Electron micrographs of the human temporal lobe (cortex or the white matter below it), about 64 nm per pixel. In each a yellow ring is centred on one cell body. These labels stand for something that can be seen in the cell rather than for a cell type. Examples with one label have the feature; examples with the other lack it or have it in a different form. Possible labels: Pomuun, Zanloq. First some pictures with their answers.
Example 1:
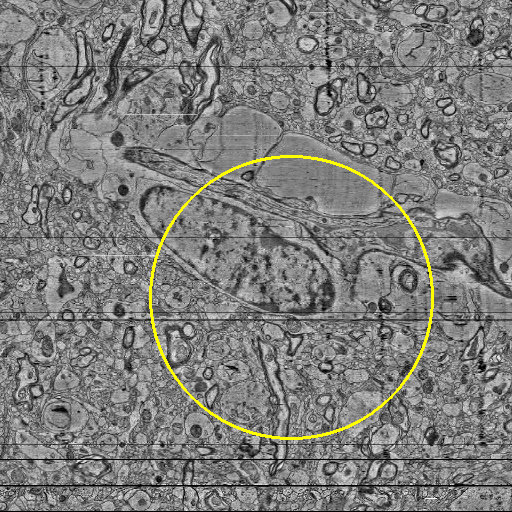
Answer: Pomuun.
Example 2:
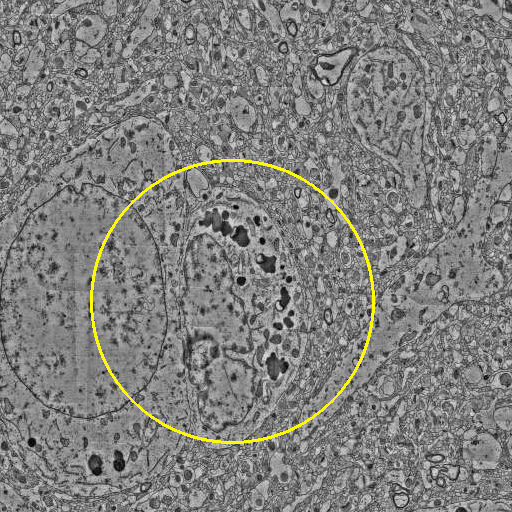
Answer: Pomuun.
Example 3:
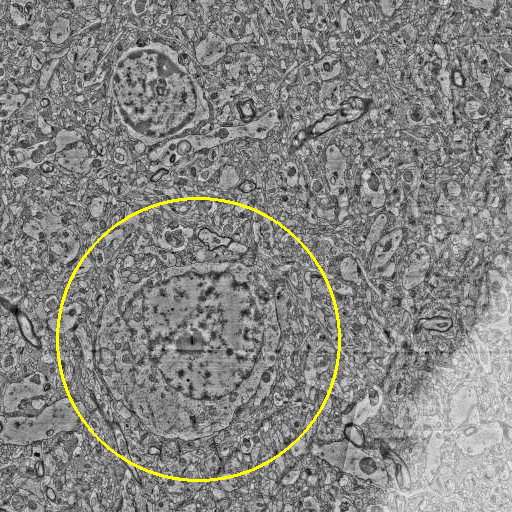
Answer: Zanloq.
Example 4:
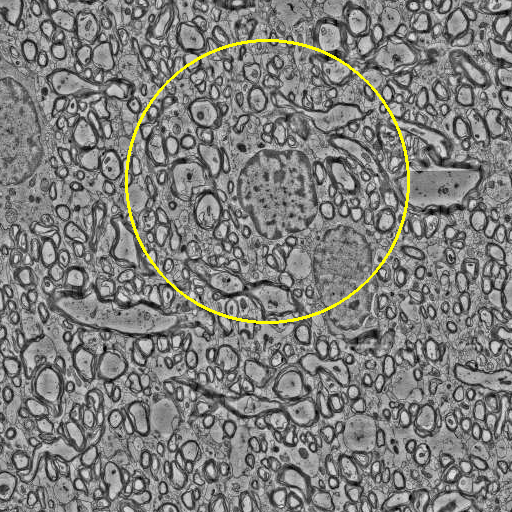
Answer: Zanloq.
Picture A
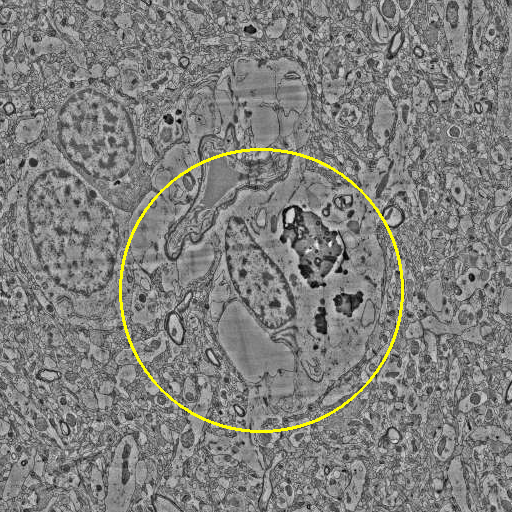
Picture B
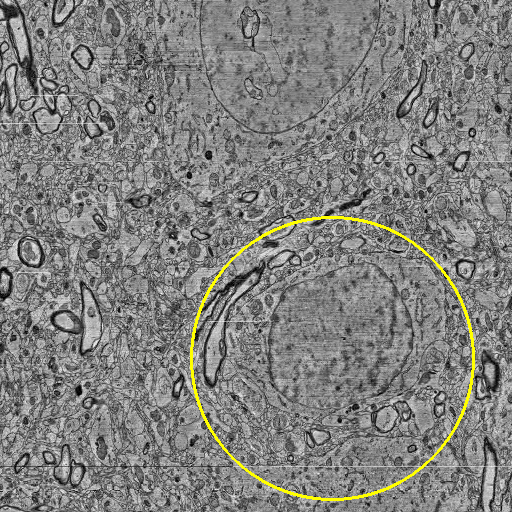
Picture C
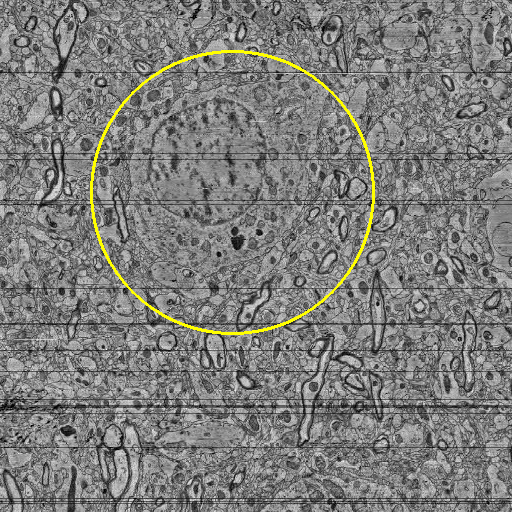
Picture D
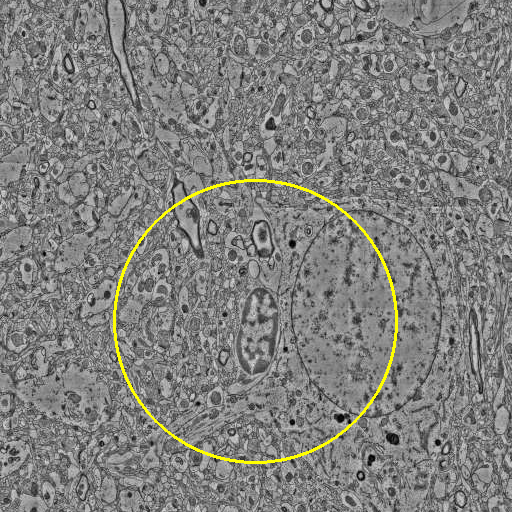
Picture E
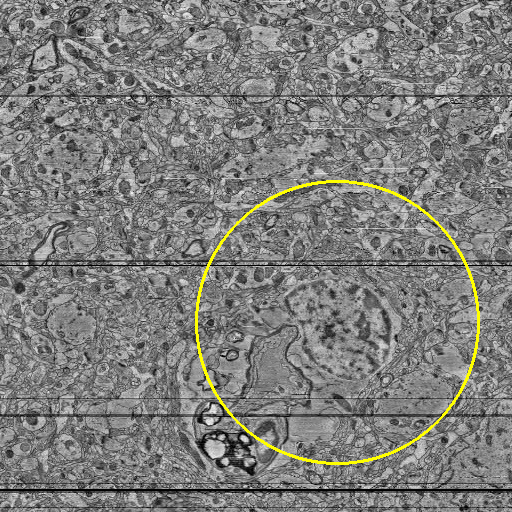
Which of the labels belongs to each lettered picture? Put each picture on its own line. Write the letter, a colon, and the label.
A: Pomuun.
B: Zanloq.
C: Zanloq.
D: Pomuun.
E: Zanloq.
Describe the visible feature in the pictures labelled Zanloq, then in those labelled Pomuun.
Zanloq, round or nearly round nuclei; Pomuun, clearly elongated nuclei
